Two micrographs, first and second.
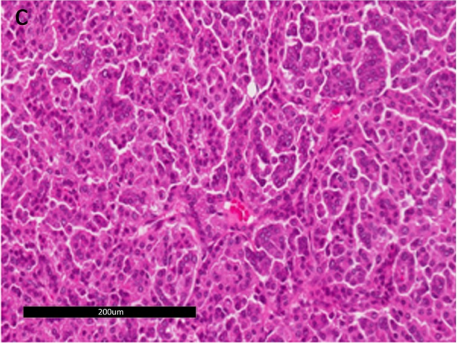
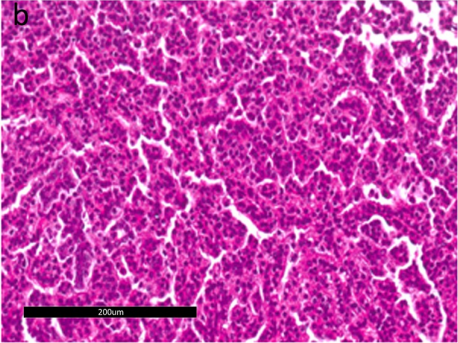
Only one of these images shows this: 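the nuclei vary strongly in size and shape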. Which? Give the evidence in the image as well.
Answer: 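Second image: nuclei are small, dark and similar to one another. That points to this answer: the first image.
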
